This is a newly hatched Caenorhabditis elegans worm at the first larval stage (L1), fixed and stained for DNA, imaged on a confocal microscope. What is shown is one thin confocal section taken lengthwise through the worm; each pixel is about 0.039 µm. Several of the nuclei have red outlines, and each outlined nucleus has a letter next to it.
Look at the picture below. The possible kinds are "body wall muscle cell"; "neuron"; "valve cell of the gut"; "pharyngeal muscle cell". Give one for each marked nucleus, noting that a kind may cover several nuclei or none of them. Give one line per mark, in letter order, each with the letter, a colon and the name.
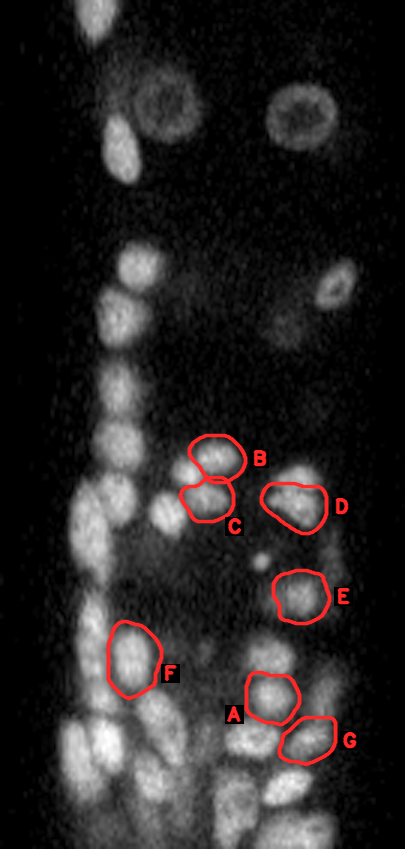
A: neuron
B: valve cell of the gut
C: pharyngeal muscle cell
D: valve cell of the gut
E: pharyngeal muscle cell
F: neuron
G: body wall muscle cell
